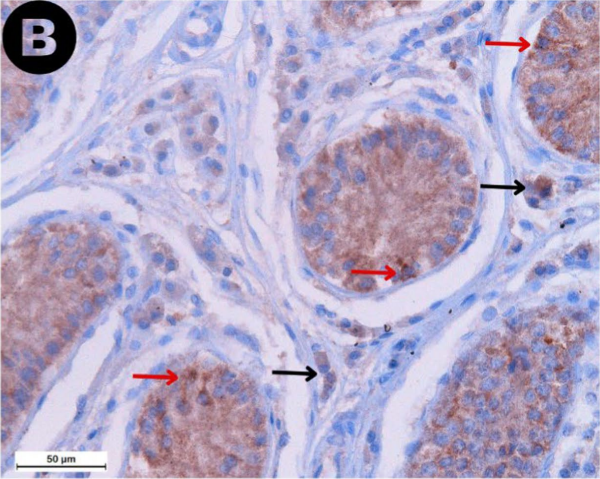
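Seminiferous tubules of testis in cross-section, lined by columnar Sertoli cells, with Leydig cells in the interstitium. The tubules hold a single population of cells with pale blue oval nuclei set near the base and abundant brown-stained cytoplasm radiating toward the centre. No open lumen and no layered germ cells or elongated heads are seen within the tubules. The tubules are separated from the surrounding tissue by clear spaces and thin walls with flattened nuclei. The loose interstitium contains spindle-shaped nuclei and small clusters of brown-stained cells lying between the tubules.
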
